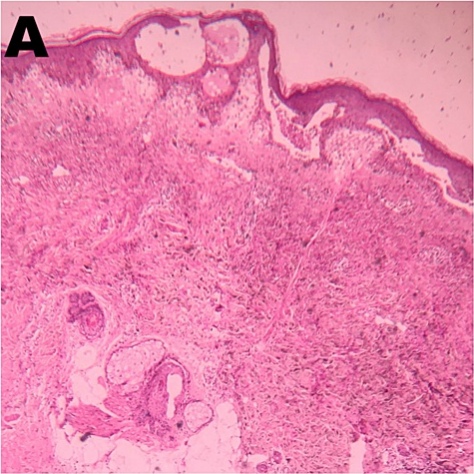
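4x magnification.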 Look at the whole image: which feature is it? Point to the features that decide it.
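Rounded fluid-filled cavities lie within the epidermis at the top of the section. The cavities are roofed and floored by layers of epidermal cells. A stratum corneum covers the surface above the cavities. The answer: intraepidermal bulla.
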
